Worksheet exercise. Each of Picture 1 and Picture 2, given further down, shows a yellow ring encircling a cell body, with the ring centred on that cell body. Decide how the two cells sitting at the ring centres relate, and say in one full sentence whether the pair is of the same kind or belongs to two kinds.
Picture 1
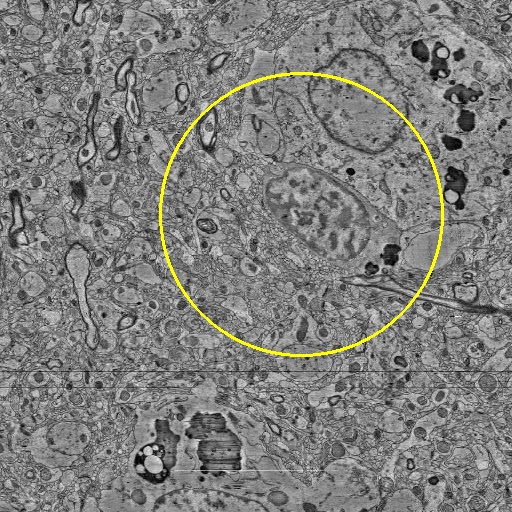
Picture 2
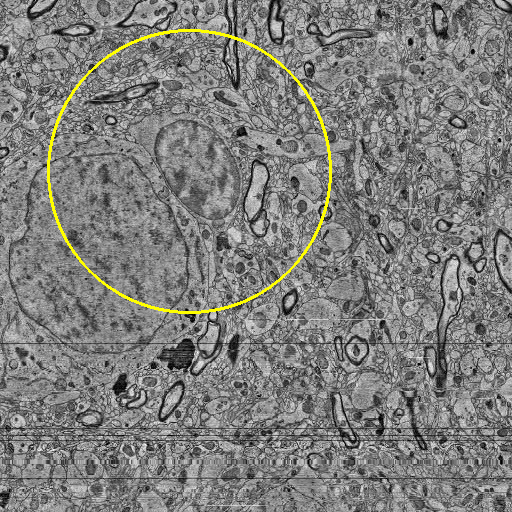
The cells at the ring centres in Picture 1 and Picture 2 are of the same kind.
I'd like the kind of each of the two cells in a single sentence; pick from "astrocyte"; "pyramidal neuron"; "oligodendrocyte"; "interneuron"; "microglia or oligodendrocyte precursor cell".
In each picture the ringed cell is an oligodendrocyte.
